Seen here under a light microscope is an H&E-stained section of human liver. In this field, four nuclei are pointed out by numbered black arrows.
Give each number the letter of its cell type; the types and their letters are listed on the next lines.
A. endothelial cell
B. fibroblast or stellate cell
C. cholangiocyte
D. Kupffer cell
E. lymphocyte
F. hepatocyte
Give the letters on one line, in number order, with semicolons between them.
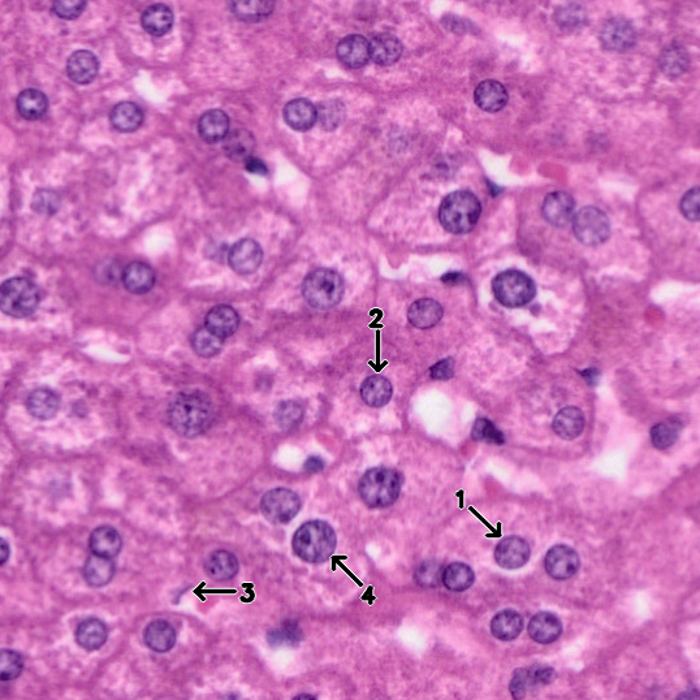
F; F; A; F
